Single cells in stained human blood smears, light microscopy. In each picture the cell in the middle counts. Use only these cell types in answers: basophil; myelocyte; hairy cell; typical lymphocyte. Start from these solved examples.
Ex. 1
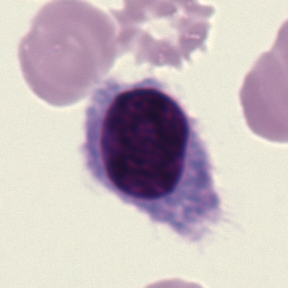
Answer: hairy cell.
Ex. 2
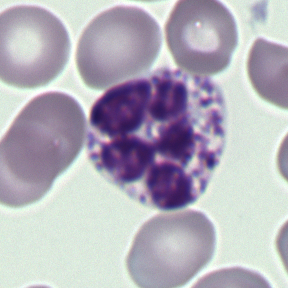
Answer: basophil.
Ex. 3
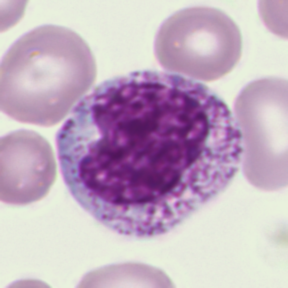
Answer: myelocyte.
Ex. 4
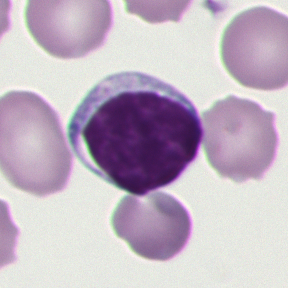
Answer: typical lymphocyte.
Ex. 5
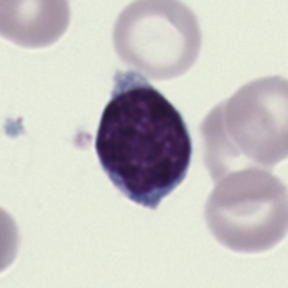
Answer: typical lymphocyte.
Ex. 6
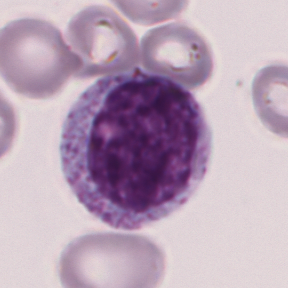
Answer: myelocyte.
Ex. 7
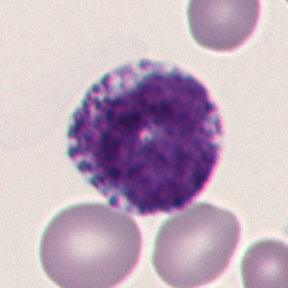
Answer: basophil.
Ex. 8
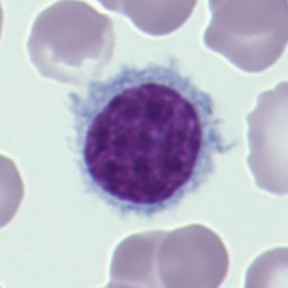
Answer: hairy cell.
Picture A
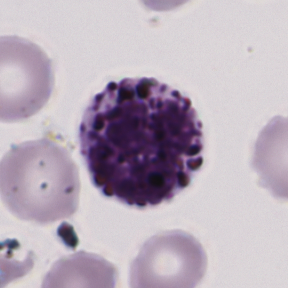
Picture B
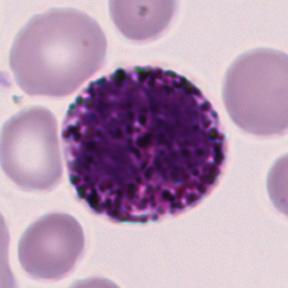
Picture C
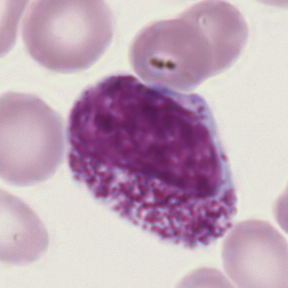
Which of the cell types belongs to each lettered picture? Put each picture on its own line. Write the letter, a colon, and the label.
A: basophil.
B: basophil.
C: myelocyte.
